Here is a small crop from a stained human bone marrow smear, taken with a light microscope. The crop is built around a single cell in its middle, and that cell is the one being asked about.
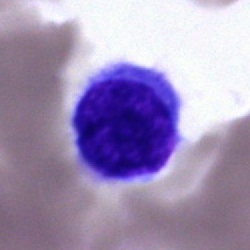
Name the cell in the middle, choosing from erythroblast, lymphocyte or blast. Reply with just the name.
lymphocyte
